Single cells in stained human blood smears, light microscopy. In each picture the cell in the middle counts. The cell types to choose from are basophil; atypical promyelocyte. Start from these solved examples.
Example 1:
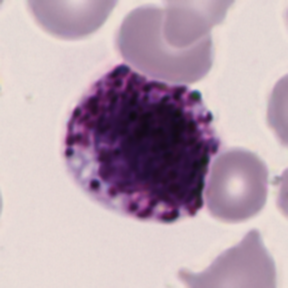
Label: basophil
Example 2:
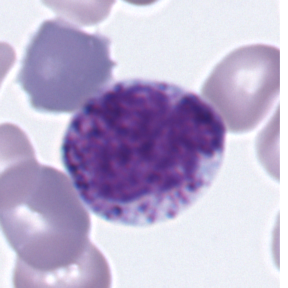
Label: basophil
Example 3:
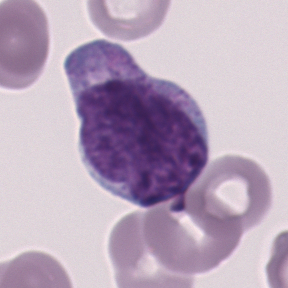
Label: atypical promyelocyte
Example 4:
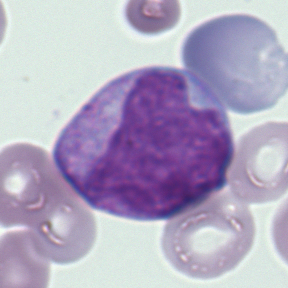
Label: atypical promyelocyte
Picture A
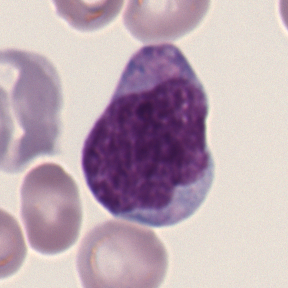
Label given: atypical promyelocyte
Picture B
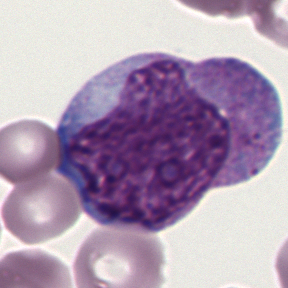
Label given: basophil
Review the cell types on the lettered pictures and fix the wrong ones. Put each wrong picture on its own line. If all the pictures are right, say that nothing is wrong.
B: not basophil but atypical promyelocyte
